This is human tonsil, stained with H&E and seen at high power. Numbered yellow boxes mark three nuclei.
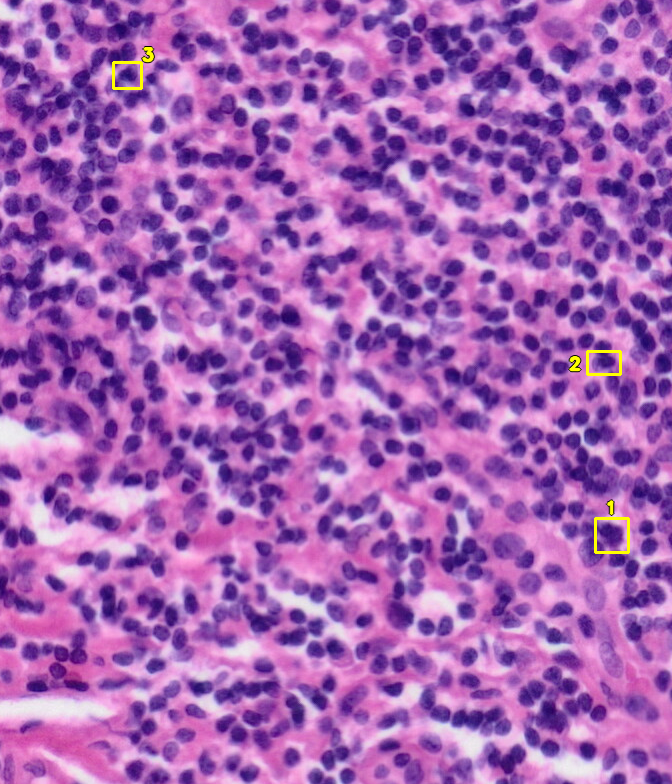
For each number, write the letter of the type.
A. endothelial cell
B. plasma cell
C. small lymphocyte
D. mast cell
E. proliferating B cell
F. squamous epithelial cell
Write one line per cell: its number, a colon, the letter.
1: E
2: C
3: C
